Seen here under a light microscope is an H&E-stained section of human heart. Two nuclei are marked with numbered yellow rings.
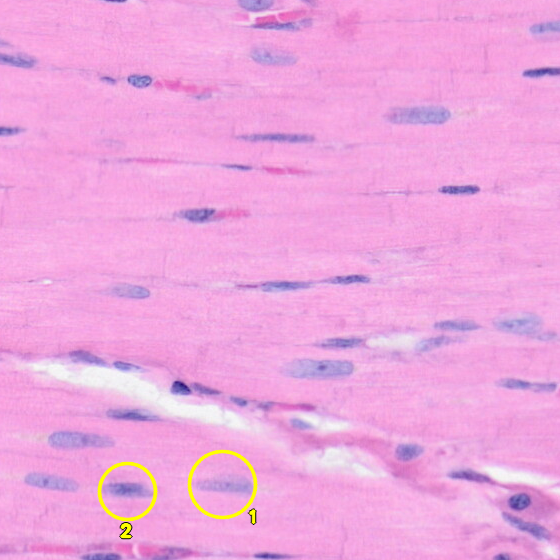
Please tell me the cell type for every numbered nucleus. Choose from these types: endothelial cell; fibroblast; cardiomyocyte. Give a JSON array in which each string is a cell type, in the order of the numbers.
["cardiomyocyte", "endothelial cell"]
